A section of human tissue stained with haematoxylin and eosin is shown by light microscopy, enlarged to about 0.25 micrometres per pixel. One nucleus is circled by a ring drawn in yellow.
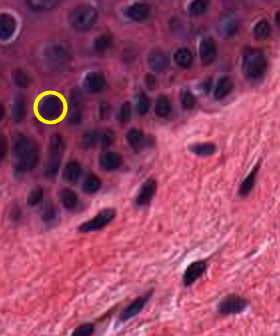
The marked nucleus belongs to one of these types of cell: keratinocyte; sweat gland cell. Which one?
keratinocyte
